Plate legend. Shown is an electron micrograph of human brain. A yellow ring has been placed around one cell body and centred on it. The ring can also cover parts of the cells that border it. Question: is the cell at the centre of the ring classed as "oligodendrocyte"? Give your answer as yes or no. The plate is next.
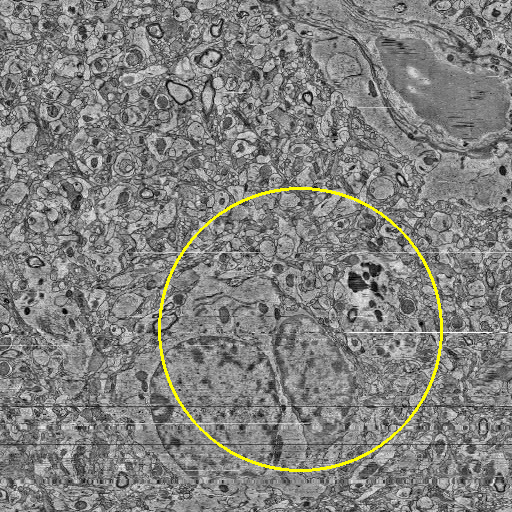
Yes, the ringed cell is of that kind.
